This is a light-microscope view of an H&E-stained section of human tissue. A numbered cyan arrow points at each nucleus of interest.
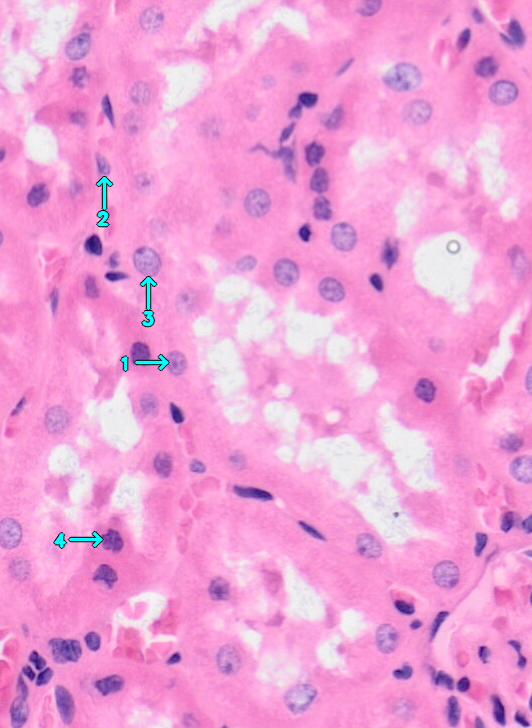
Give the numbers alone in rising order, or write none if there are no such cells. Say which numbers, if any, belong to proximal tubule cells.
1, 3, 4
